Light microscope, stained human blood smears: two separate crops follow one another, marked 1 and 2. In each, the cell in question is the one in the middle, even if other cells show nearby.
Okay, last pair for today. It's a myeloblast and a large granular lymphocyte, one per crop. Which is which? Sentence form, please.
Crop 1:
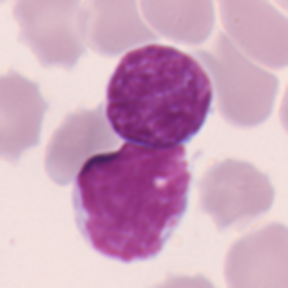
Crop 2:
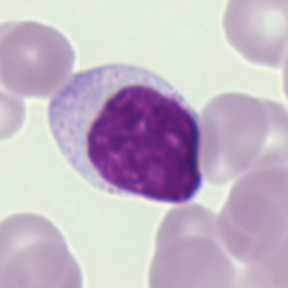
As for the pair, crop 1 is a myeloblast and crop 2 is a large granular lymphocyte.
